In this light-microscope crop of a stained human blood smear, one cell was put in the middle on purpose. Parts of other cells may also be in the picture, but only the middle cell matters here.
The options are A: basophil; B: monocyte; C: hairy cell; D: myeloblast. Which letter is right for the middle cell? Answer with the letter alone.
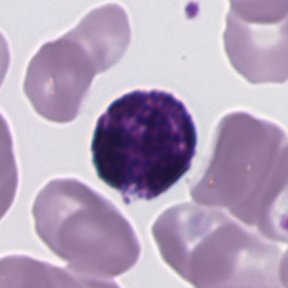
A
